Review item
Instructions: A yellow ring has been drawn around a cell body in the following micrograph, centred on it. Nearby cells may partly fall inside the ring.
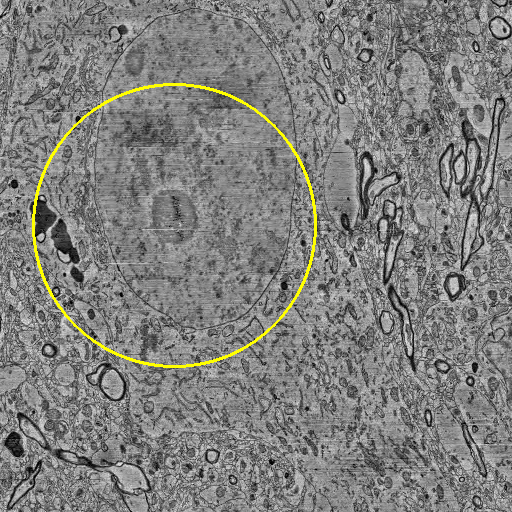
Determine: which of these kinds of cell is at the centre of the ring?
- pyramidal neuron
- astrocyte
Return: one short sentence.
The cell body in the middle of the ring is that of a pyramidal neuron.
